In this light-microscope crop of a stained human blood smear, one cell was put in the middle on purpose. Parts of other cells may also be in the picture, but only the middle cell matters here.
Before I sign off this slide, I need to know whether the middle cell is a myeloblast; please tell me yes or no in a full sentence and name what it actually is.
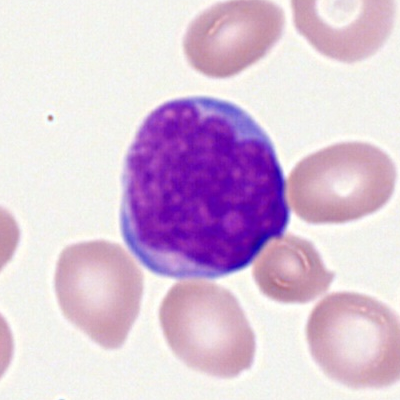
Yes, the middle cell here is a myeloblast.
